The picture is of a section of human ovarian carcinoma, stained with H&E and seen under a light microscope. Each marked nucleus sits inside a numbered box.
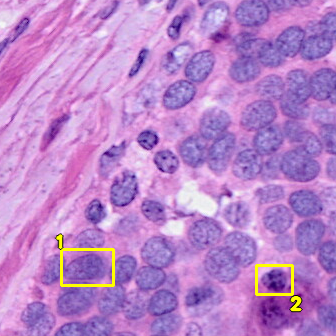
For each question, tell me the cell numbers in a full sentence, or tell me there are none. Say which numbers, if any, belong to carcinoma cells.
Only the cell marked 1 is a carcinoma cell.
